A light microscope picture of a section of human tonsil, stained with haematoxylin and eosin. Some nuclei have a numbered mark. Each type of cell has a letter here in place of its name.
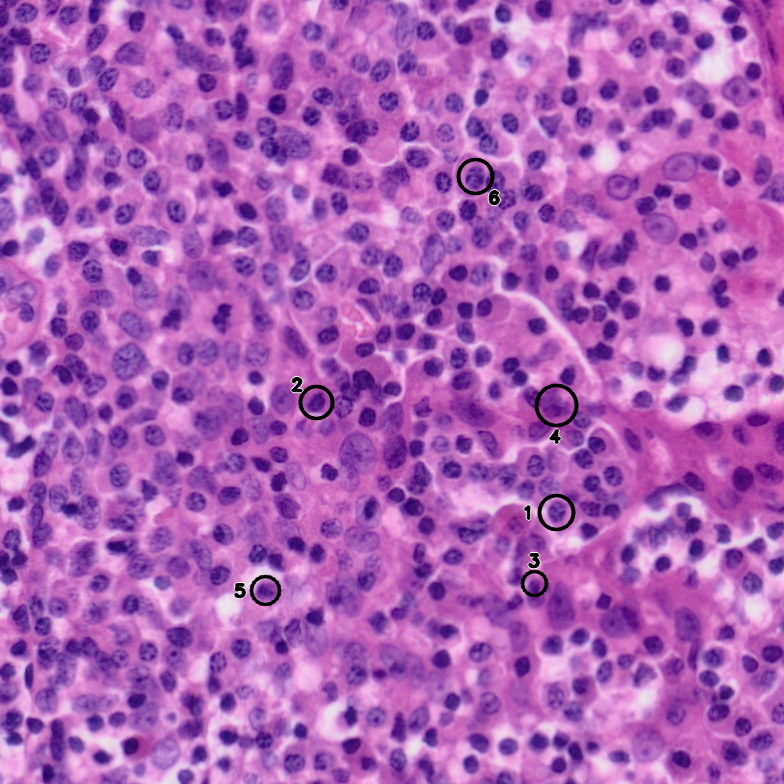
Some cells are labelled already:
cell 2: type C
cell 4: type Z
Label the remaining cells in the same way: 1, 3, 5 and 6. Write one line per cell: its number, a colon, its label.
1: type C
3: type Z
5: type C
6: type C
